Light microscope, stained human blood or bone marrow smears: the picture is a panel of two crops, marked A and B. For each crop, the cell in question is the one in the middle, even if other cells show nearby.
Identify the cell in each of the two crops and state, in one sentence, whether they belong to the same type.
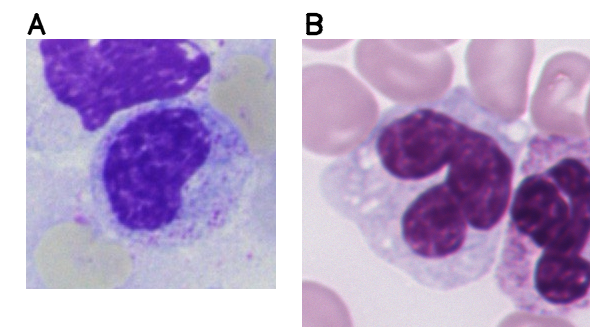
No, as for crop A, it shows a metamyelocyte, and crop B shows a monocyte.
